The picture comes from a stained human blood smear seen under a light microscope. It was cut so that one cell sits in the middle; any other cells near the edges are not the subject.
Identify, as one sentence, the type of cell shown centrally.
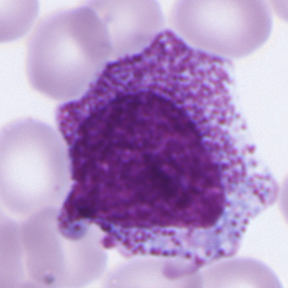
The identification for the central cell is a promyelocyte.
